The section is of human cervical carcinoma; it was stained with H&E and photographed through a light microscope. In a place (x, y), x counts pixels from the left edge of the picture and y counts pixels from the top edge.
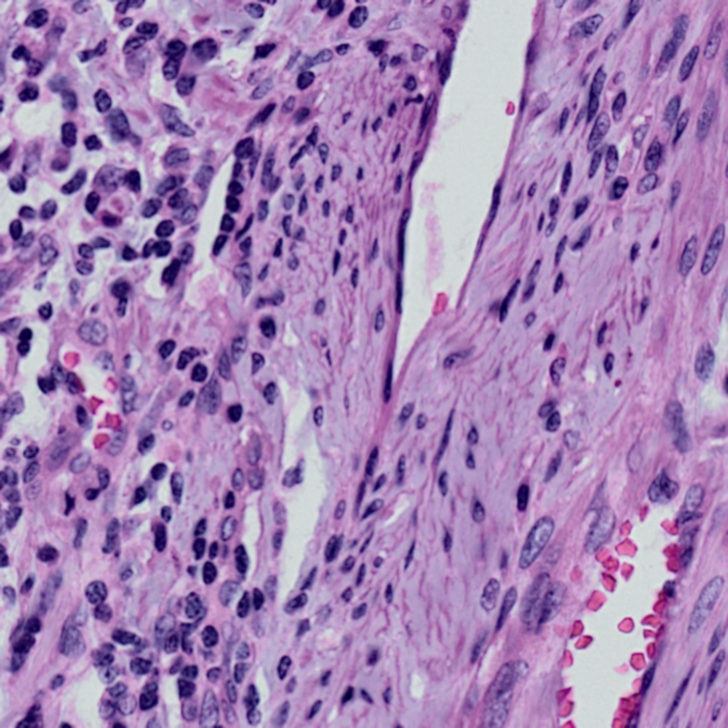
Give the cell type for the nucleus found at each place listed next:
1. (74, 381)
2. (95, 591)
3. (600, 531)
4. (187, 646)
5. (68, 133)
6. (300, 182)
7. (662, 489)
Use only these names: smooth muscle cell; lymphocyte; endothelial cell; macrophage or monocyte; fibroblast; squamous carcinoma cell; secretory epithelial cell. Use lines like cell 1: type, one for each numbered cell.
cell 1: endothelial cell
cell 2: lymphocyte
cell 3: endothelial cell
cell 4: lymphocyte
cell 5: lymphocyte
cell 6: fibroblast
cell 7: endothelial cell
